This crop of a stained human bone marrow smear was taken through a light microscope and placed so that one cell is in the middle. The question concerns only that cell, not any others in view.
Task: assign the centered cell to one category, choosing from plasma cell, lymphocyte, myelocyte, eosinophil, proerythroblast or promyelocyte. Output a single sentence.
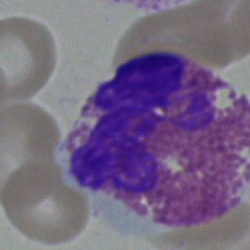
The cell featured at the centre of this crop is an eosinophil.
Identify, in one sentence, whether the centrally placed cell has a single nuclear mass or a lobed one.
The key feature is a nucleus with multiple lobes.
